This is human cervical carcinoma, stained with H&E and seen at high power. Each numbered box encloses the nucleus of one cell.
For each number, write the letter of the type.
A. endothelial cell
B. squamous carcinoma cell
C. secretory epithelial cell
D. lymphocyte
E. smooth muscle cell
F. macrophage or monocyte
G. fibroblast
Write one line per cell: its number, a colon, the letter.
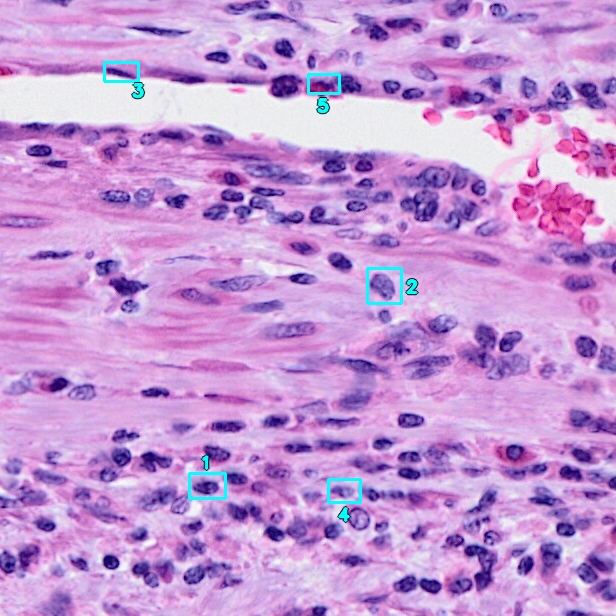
1: D
2: D
3: A
4: D
5: A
